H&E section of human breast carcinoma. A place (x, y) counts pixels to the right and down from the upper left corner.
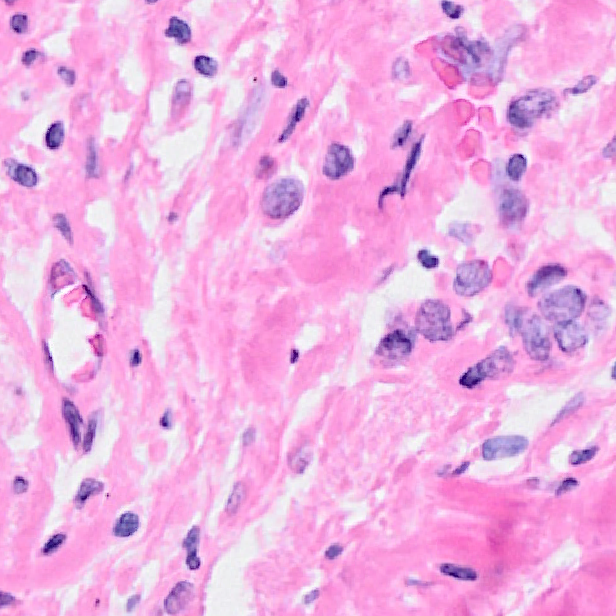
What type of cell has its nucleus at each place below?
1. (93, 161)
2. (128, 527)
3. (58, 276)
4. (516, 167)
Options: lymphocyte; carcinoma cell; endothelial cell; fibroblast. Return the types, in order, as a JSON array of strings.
["fibroblast", "lymphocyte", "endothelial cell", "lymphocyte"]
